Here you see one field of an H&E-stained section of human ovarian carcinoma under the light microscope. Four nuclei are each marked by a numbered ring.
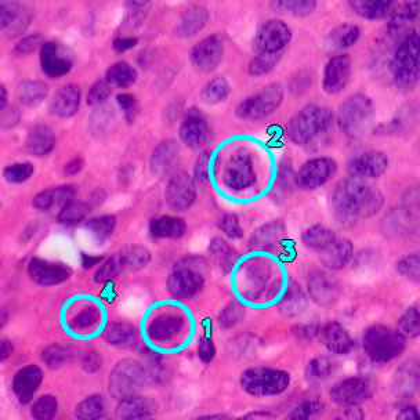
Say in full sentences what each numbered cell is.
Cells 1, 3 and 4 are carcinoma cells. Cell 2 is a macrophage or monocyte.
